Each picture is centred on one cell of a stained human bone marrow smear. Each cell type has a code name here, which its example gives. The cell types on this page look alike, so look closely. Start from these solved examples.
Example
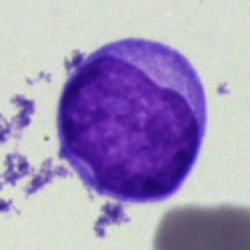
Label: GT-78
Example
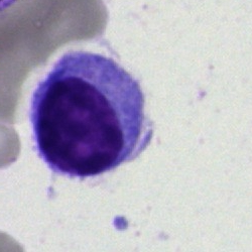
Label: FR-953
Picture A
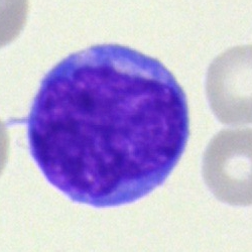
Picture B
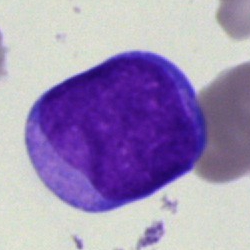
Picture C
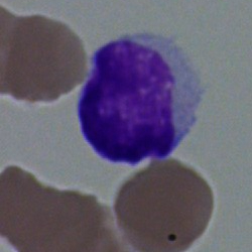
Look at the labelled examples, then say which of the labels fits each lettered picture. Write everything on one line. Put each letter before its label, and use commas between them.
A GT-78, B GT-78, C FR-953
